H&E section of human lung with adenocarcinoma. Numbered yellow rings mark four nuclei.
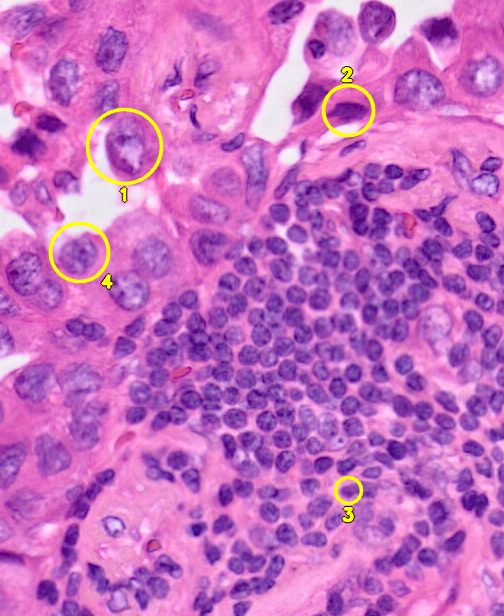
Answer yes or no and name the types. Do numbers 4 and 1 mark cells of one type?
Yes, cells 4 and 1 are carcinoma cells, both of them.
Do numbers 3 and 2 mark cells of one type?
No, cell 2 is a carcinoma cell, while cell 3 is a lymphocyte.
